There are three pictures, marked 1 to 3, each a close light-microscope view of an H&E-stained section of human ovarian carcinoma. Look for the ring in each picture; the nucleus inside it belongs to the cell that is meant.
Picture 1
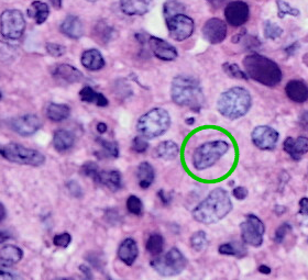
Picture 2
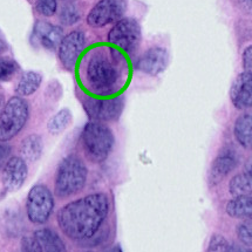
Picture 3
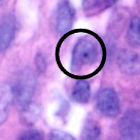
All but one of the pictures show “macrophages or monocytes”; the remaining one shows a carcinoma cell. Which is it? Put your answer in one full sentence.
The picture with the carcinoma cell is 2.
